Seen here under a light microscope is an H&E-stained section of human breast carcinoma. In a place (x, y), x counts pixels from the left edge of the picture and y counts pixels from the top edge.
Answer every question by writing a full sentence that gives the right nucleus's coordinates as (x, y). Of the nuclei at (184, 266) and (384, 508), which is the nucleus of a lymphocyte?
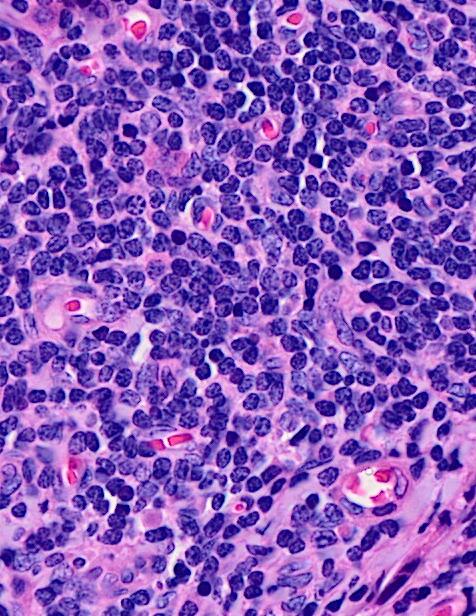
The nucleus of a lymphocyte lies at (184, 266), not at the other position.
